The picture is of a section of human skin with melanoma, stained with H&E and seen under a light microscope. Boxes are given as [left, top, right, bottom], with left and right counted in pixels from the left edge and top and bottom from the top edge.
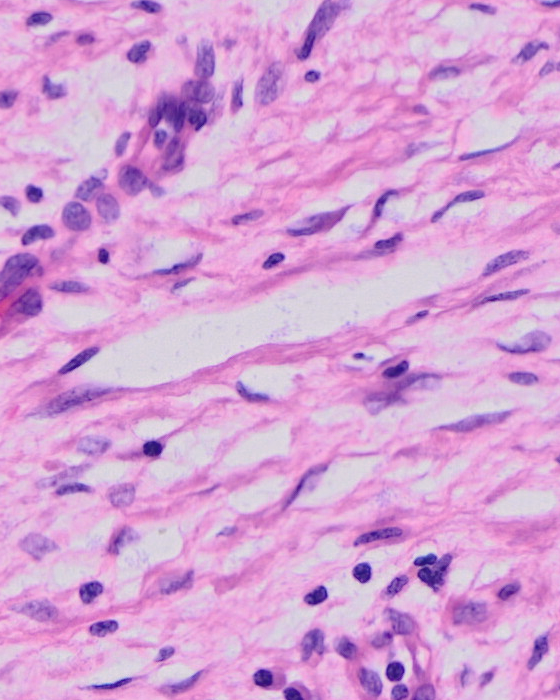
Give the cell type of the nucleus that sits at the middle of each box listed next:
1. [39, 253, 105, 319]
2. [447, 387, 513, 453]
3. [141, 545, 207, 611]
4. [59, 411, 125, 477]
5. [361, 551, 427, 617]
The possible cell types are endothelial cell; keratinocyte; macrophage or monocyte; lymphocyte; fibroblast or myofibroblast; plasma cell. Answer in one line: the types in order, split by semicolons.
macrophage or monocyte; fibroblast or myofibroblast; fibroblast or myofibroblast; fibroblast or myofibroblast; macrophage or monocyte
